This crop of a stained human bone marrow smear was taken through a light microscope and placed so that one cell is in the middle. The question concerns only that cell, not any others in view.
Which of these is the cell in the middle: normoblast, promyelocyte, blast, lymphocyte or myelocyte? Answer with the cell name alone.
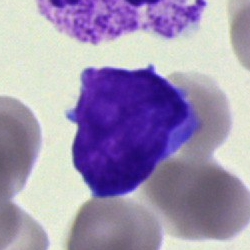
blast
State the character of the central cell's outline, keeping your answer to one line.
Rather than running smoothly, the cell border is ragged or carries projections.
